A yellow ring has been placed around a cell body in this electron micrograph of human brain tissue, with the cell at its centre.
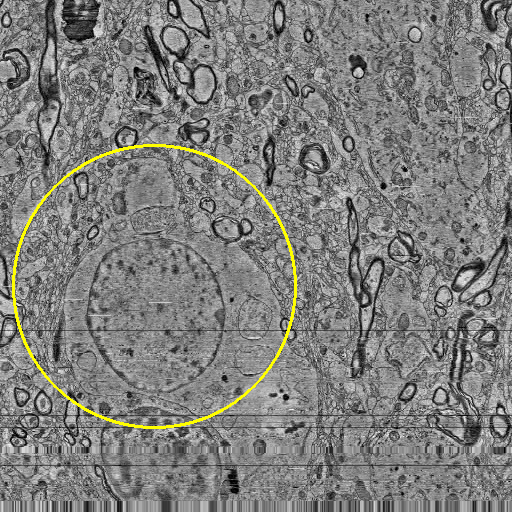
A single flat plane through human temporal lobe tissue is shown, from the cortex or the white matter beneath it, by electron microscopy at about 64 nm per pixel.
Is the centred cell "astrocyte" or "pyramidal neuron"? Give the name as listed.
astrocyte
